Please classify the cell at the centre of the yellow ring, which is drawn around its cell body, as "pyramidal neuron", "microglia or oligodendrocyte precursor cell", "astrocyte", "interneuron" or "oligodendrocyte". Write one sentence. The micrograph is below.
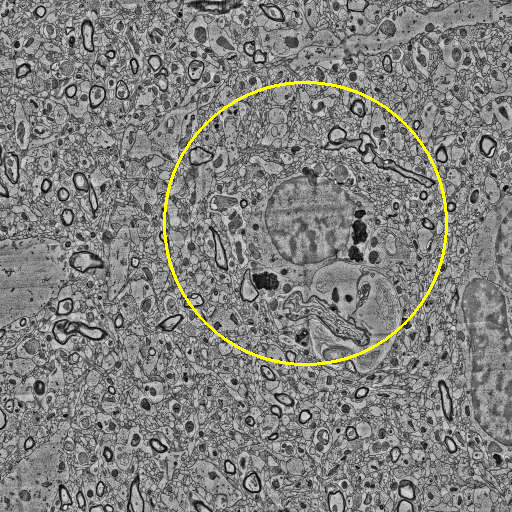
The cell at the ring's centre is classified as an oligodendrocyte.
